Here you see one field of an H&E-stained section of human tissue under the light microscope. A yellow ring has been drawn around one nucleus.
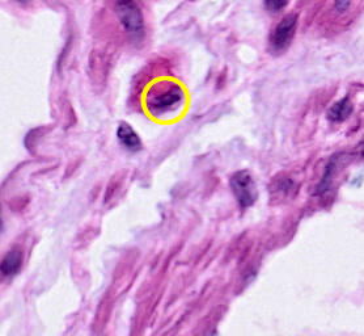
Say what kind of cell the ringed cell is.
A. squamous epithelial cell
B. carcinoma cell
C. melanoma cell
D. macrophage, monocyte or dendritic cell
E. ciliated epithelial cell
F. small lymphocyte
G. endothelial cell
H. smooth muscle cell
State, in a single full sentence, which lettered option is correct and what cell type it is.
The proper choice here is G: the ringed cell is an endothelial cell.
